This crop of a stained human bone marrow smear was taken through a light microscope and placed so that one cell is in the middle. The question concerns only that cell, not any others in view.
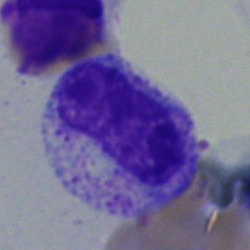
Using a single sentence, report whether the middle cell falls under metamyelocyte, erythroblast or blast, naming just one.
Standing at the centre of this crop is a metamyelocyte.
